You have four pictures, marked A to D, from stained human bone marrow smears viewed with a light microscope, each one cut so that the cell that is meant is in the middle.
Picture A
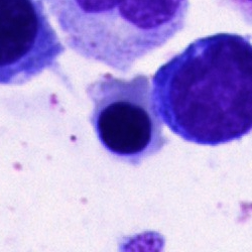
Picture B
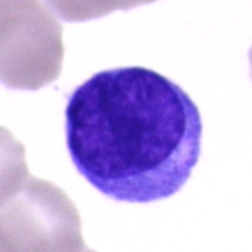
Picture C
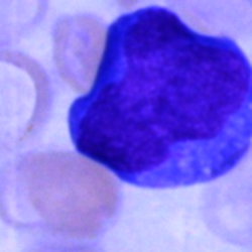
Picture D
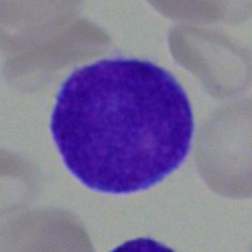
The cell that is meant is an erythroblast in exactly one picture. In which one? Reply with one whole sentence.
Picture A is the one that shows the erythroblast.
